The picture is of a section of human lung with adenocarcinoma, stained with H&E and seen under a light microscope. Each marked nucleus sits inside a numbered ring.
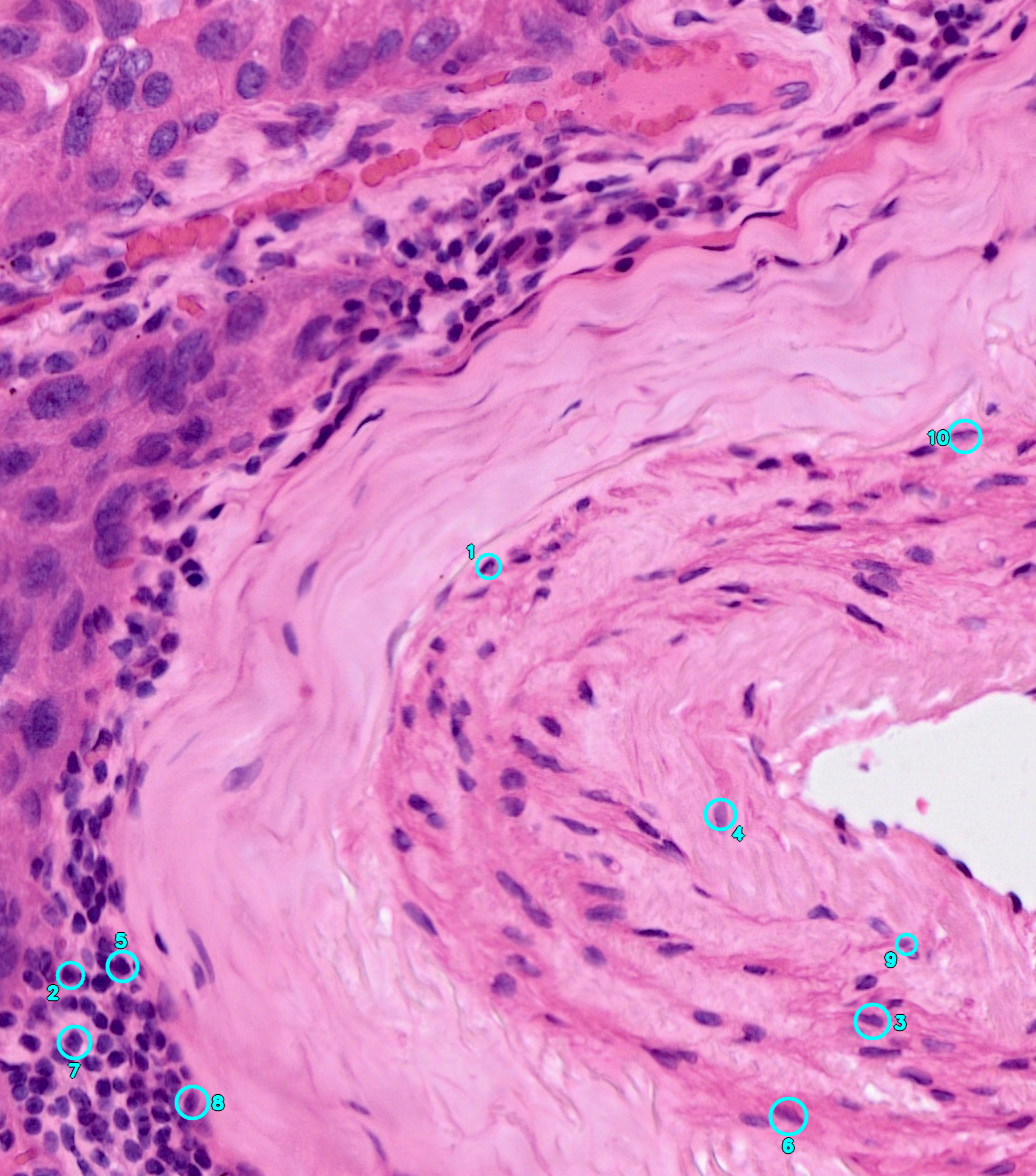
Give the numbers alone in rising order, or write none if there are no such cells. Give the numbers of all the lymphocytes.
2, 5, 7, 8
